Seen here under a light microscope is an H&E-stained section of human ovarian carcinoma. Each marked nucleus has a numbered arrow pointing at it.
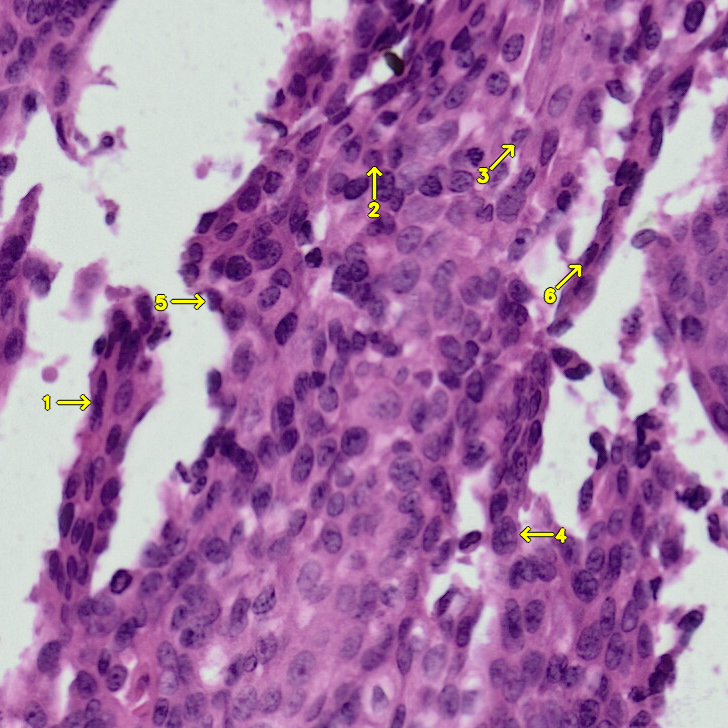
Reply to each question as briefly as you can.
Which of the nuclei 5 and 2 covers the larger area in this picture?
5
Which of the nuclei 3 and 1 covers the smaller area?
3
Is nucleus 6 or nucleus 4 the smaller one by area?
6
